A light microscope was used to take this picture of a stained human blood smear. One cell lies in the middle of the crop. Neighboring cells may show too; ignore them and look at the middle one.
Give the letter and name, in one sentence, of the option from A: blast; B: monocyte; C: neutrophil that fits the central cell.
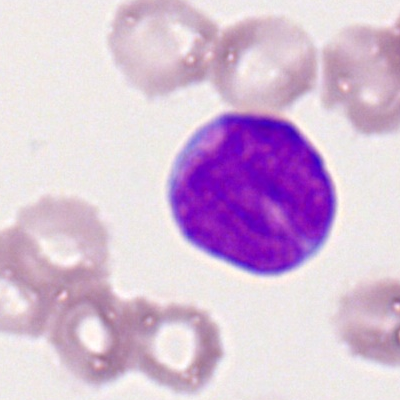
The central cell, a blast, is correctly identified by option A.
